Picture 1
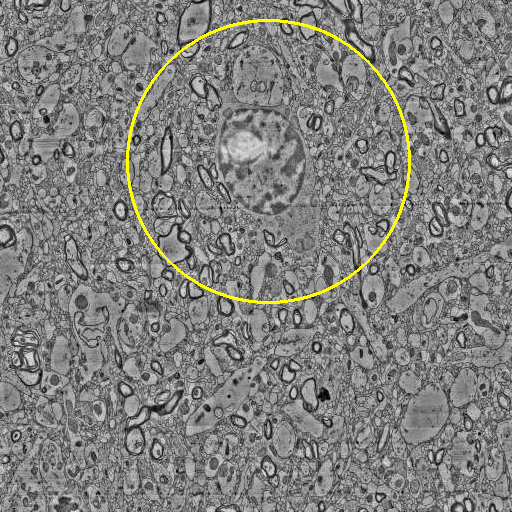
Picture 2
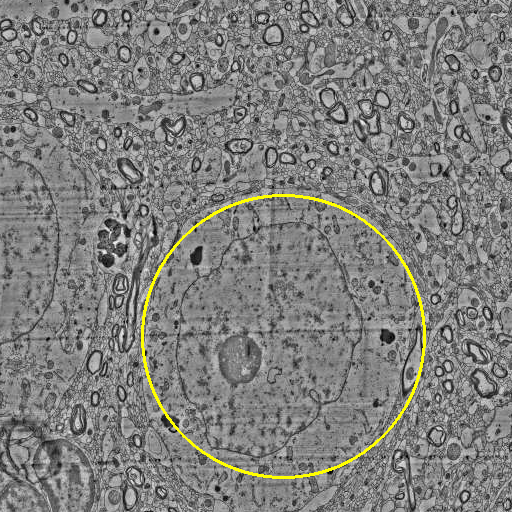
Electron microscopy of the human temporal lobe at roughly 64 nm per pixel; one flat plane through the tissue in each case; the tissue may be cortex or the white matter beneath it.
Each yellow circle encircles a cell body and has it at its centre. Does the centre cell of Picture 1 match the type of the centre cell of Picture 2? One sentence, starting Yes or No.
No, the cell centred in Picture 1 and the one in Picture 2 have separate types.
